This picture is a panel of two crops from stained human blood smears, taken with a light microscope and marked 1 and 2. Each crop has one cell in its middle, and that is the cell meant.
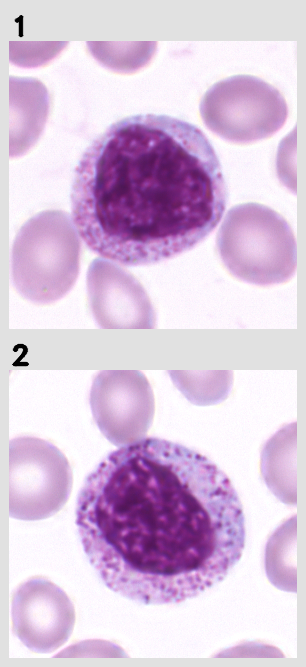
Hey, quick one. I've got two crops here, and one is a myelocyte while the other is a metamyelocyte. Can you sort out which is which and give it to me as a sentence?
Crop 1 presents a myelocyte, and crop 2 presents a metamyelocyte.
